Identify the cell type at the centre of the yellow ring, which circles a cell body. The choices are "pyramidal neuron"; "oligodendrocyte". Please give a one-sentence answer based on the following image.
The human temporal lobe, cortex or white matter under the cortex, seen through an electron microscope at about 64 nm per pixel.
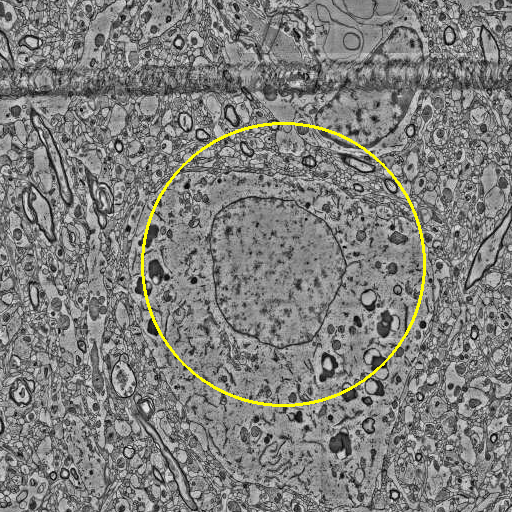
The cell marked by the ring is a pyramidal neuron.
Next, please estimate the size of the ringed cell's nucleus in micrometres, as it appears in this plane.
Approximately 9 micrometres across, in this plane.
